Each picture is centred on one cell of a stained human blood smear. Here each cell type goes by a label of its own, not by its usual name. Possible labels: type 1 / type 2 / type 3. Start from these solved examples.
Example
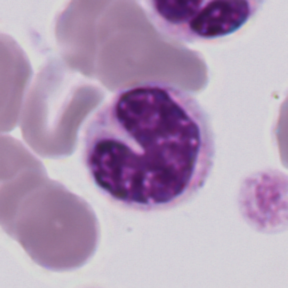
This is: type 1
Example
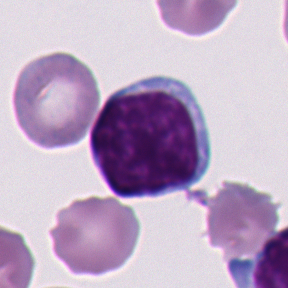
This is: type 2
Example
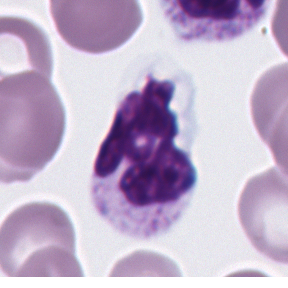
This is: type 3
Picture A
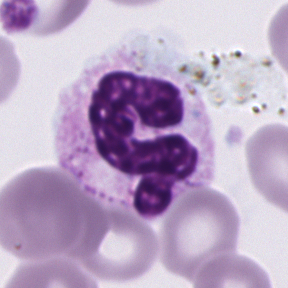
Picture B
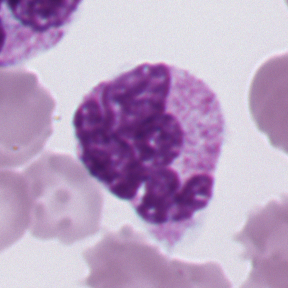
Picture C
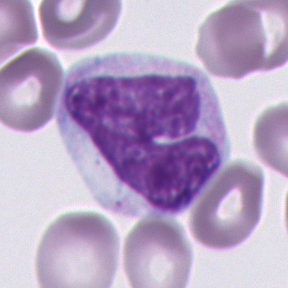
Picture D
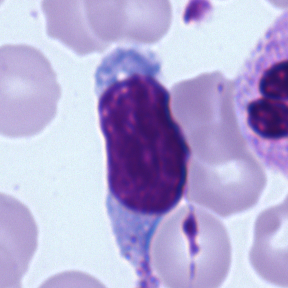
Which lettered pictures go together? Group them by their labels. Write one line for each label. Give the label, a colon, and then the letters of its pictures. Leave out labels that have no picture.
type 1: C
type 2: D
type 3: A, B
